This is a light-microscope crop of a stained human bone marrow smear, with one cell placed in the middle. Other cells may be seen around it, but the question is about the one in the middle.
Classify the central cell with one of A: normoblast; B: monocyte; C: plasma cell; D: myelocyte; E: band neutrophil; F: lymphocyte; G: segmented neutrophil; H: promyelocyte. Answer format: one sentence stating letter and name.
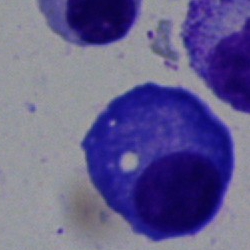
The cell at the centre is a plasma cell, and option C accordingly is correct.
